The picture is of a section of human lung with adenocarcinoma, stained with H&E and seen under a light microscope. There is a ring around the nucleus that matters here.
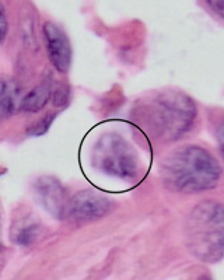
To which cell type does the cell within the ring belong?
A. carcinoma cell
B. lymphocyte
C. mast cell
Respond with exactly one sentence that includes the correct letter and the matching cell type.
Option A is correct here; the cell within the ring is a carcinoma cell.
